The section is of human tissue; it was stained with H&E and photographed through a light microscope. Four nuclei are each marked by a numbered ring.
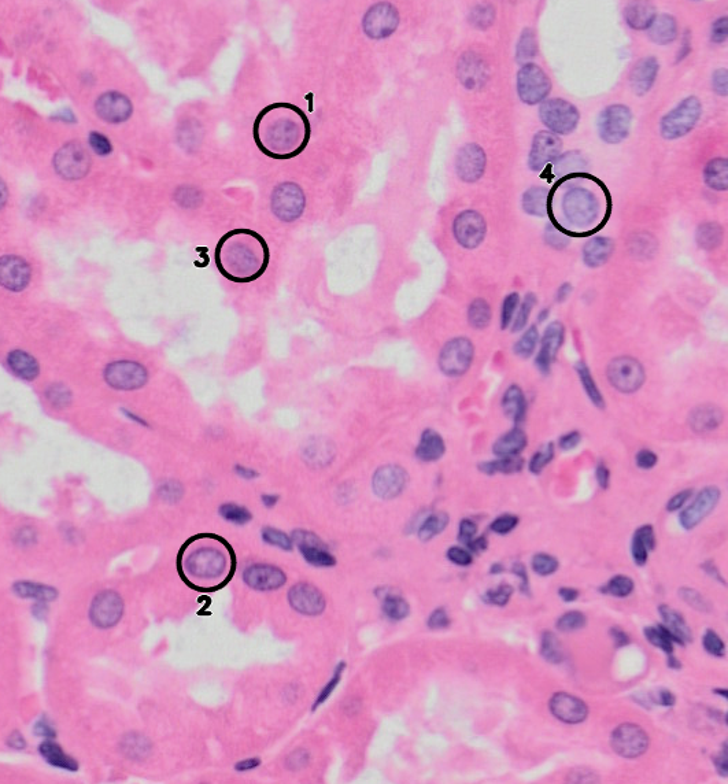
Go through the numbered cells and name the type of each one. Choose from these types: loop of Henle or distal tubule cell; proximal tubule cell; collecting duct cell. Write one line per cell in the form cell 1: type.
cell 1: proximal tubule cell
cell 2: proximal tubule cell
cell 3: proximal tubule cell
cell 4: collecting duct cell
